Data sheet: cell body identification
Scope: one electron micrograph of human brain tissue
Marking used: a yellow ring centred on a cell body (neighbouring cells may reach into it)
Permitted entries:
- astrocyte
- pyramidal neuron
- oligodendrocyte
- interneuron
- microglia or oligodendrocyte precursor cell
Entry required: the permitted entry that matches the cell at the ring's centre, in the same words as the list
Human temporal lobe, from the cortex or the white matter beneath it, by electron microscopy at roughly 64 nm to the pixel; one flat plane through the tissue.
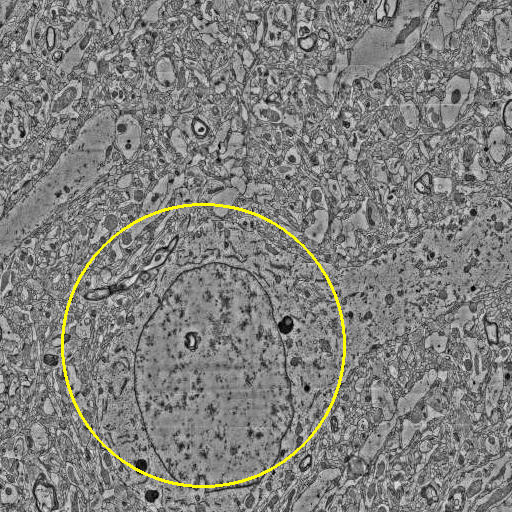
pyramidal neuron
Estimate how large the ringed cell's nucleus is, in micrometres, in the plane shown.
The ringed cell's nucleus measures approximately 15 by 10 micrometres in this plane.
